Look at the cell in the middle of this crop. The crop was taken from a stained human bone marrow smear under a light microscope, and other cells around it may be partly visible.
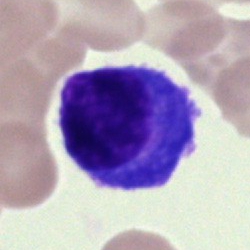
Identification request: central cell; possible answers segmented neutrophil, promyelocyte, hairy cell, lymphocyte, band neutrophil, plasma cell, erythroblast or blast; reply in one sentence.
The center cell of this crop is a plasma cell.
